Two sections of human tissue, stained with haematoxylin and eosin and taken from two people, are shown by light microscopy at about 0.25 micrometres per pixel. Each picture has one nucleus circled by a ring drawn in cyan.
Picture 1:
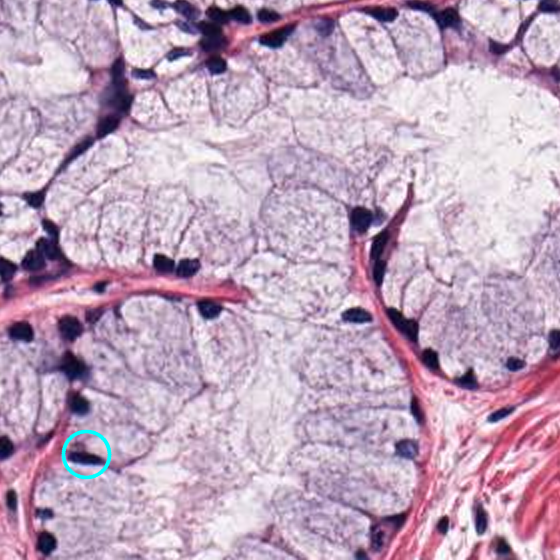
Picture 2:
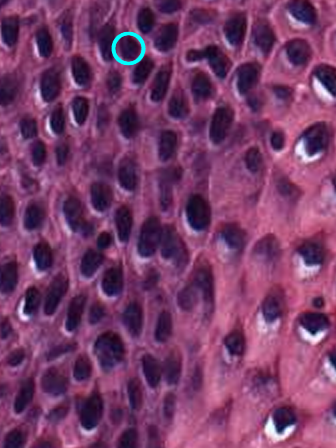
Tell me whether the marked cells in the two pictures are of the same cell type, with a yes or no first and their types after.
No, the first is a mucous gland cell and the second a squamous epithelial cell.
